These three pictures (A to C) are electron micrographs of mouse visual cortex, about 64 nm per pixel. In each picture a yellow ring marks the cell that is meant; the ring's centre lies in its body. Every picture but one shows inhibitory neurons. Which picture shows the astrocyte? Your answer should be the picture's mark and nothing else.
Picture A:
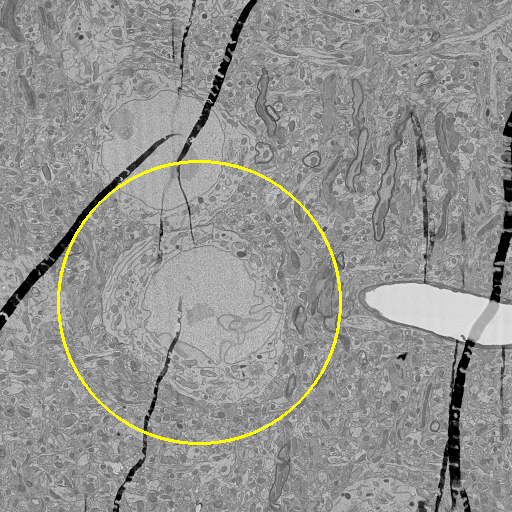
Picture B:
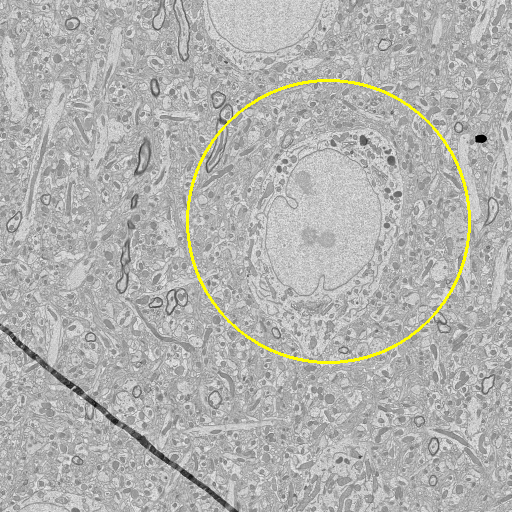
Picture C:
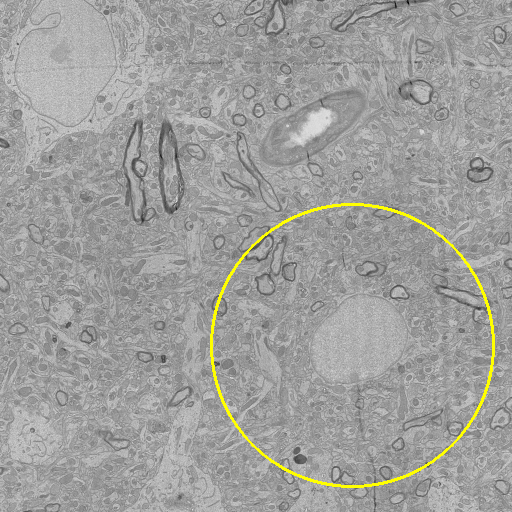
C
